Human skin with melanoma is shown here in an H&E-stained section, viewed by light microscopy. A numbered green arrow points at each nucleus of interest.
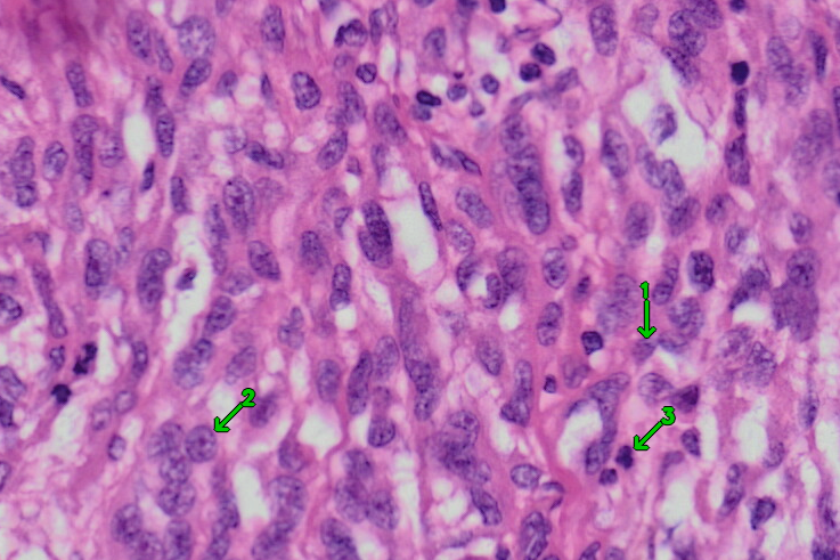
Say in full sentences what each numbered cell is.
Cells 1 and 2 are melanoma cells. Cell 3 is a lymphocyte.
